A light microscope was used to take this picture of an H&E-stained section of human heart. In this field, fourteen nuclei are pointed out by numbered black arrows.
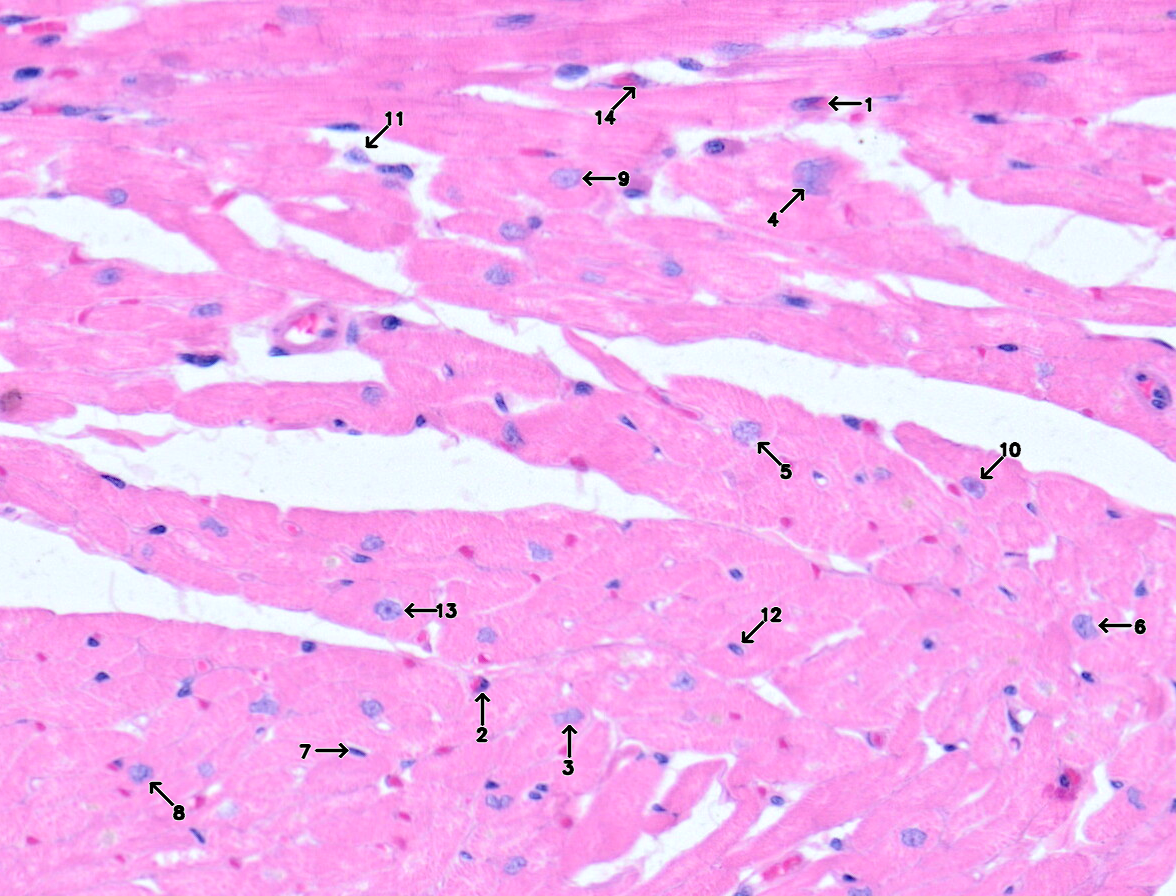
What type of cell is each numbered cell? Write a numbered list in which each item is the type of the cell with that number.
1. endothelial cell
2. endothelial cell
3. cardiomyocyte
4. cardiomyocyte
5. cardiomyocyte
6. cardiomyocyte
7. endothelial cell
8. cardiomyocyte
9. cardiomyocyte
10. cardiomyocyte
11. fibroblast
12. endothelial cell
13. cardiomyocyte
14. endothelial cell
